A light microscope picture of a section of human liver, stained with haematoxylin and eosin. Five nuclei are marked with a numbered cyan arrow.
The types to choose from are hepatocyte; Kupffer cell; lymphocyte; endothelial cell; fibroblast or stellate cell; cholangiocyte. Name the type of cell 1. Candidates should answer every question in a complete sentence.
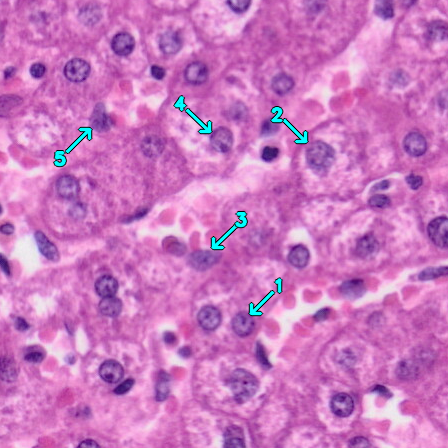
Recognised here as a hepatocyte is the cell numbered 1.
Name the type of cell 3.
The one labeled 3 is an endothelial cell, to put it simply.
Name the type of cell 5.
Recognised here as an endothelial cell is the cell numbered 5.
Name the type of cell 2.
The cell referred to as 2 is a hepatocyte.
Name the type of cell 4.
Heads up, the cell numbered 4 is a hepatocyte.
